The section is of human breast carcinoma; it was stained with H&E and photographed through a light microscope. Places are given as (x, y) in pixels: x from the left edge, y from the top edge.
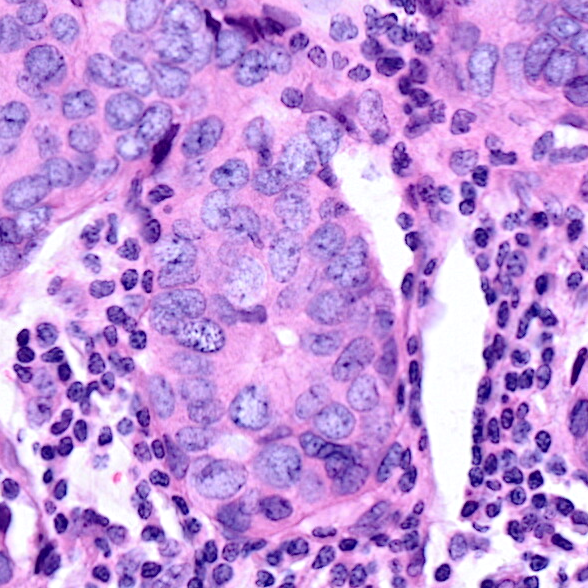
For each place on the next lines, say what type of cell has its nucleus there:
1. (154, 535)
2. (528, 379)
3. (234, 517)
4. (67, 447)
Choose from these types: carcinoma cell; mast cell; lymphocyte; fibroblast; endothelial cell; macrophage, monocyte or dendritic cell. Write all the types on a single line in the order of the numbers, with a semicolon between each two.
lymphocyte; lymphocyte; carcinoma cell; lymphocyte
